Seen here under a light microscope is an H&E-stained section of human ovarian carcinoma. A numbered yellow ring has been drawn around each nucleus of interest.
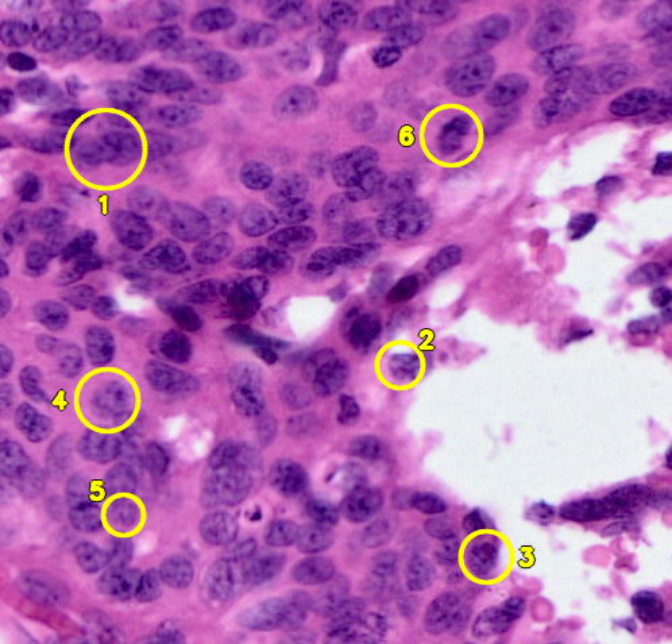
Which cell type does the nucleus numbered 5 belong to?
carcinoma cell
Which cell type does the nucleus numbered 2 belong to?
macrophage or monocyte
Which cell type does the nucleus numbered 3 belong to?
carcinoma cell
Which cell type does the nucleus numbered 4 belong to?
carcinoma cell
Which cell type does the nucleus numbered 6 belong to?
macrophage or monocyte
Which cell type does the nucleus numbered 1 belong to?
carcinoma cell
